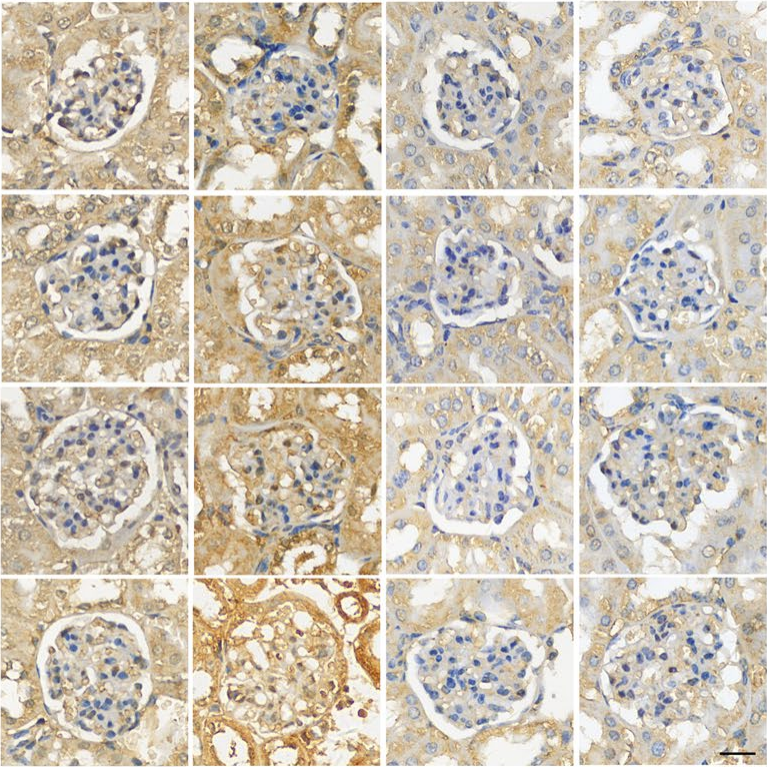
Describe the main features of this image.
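These are sections of renal cortex, each centred on a glomerulus: a rounded tuft of capillary loops with blue nuclei, set in a narrow clear space inside a thin capsule and surrounded by cross-sectioned tubules. Brown staining lies in the tubular epithelium and along the capillary loops of the tuft. Its strength differs between images, from pale tan with mostly blue nuclei to a dense brown that outlines the loops and the surrounding tubules.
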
